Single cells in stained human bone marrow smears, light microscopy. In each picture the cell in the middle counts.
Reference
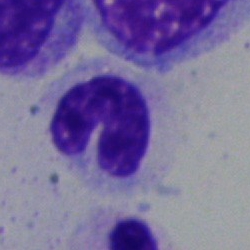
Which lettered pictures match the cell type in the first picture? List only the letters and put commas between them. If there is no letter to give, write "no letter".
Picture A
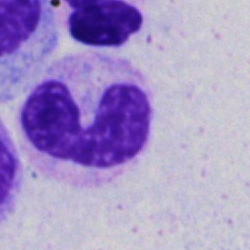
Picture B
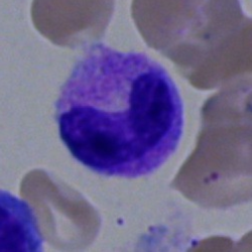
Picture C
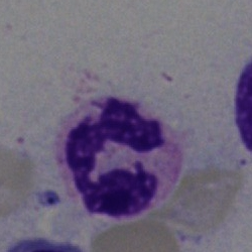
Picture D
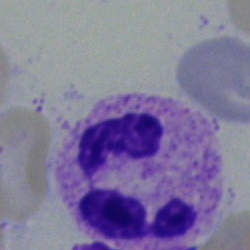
A, B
